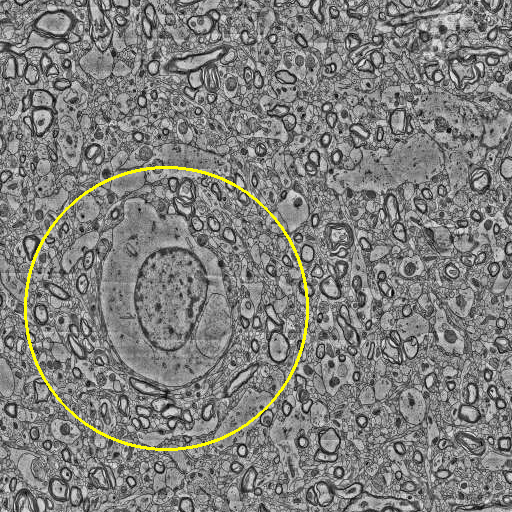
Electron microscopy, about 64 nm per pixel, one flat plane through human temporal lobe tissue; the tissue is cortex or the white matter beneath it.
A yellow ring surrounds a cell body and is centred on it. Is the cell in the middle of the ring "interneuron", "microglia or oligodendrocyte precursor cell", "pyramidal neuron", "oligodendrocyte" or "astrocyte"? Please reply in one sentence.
The ring is centred on an astrocyte.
